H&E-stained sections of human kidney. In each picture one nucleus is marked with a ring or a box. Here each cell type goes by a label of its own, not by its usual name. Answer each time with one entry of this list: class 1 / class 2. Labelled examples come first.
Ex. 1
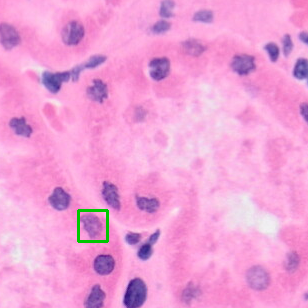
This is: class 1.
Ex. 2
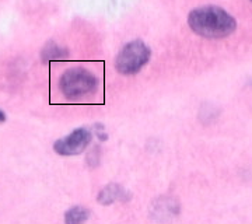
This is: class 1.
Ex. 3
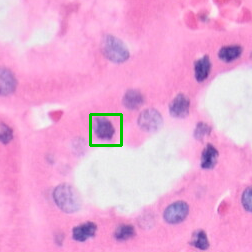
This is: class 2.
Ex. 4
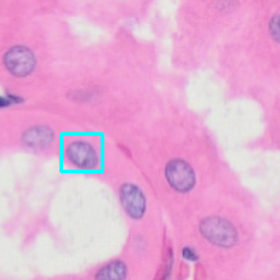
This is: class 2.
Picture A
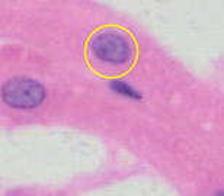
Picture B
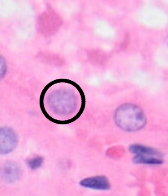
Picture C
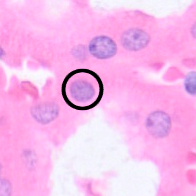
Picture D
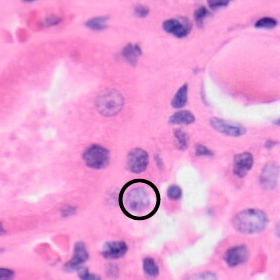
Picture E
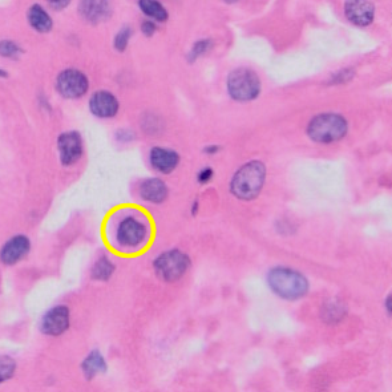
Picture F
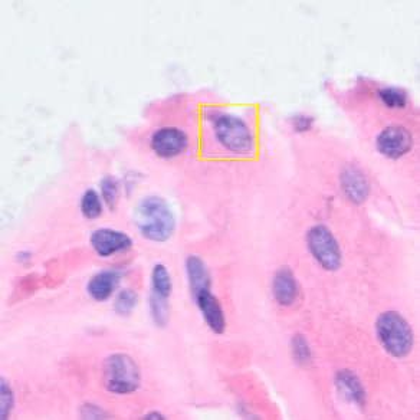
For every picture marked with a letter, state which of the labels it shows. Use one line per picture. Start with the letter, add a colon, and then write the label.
A: class 1.
B: class 1.
C: class 1.
D: class 2.
E: class 2.
F: class 2.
